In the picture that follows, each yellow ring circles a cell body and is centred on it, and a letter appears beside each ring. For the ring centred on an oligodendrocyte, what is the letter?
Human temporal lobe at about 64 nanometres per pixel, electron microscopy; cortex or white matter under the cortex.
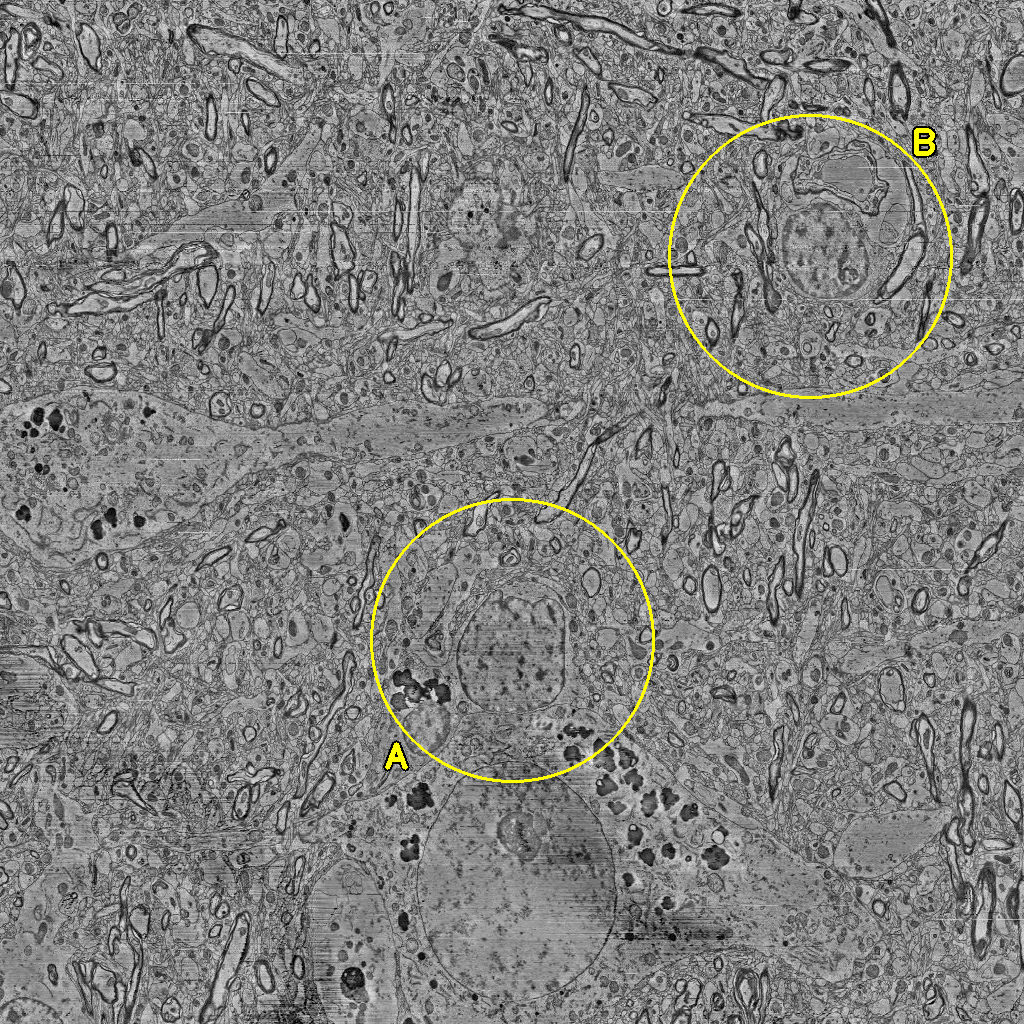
B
